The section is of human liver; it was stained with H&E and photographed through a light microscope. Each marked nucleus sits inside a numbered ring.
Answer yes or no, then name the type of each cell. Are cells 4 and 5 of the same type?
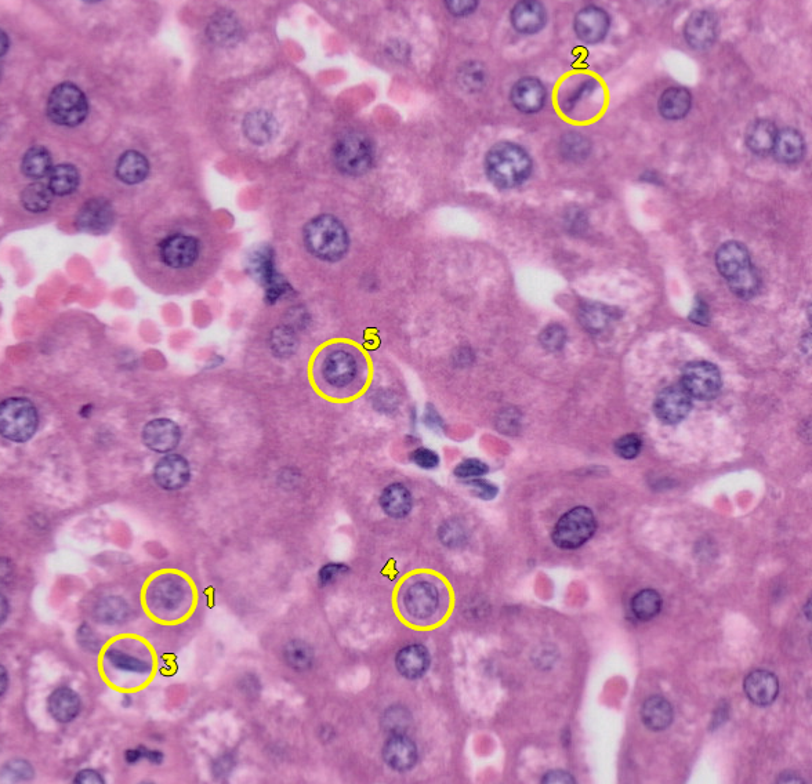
Yes, cell number 4 and cell number 5 are both hepatocytes.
